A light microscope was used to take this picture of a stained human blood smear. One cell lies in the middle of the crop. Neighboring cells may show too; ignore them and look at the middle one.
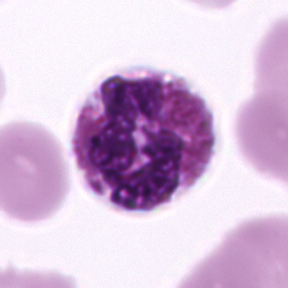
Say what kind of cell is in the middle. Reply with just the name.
eosinophil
